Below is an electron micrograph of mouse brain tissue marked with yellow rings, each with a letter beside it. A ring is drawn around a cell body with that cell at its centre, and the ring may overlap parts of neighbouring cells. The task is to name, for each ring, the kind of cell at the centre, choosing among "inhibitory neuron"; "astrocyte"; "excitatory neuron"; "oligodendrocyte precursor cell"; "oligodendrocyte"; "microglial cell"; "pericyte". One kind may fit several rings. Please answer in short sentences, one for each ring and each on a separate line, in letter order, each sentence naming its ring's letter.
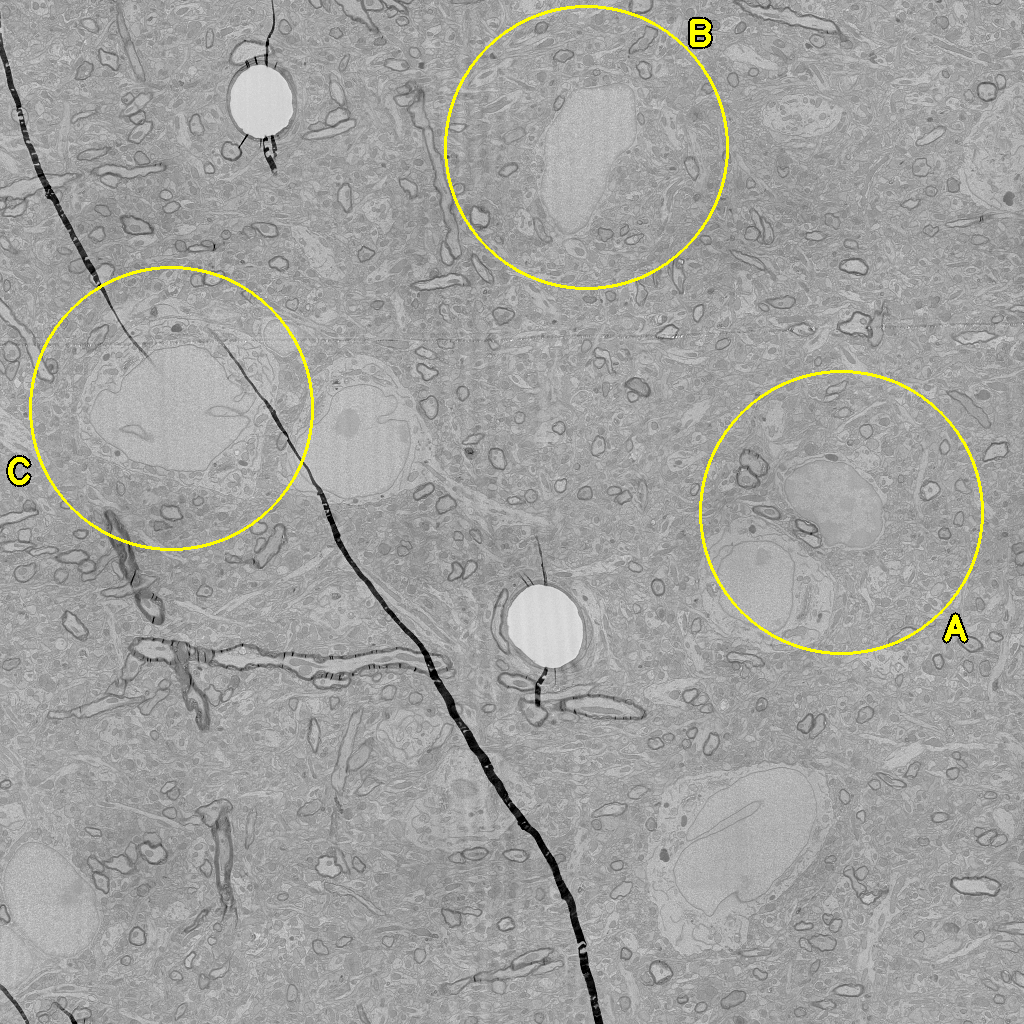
The ring with letter A is centred on a microglial cell.
The ring with letter B is centred on an astrocyte.
The ring with letter C is centred on an inhibitory neuron.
